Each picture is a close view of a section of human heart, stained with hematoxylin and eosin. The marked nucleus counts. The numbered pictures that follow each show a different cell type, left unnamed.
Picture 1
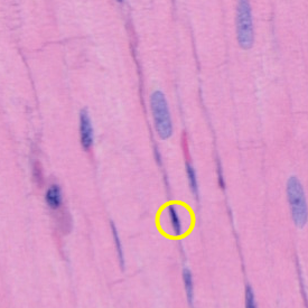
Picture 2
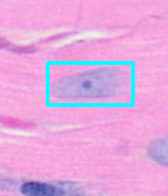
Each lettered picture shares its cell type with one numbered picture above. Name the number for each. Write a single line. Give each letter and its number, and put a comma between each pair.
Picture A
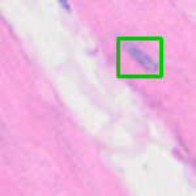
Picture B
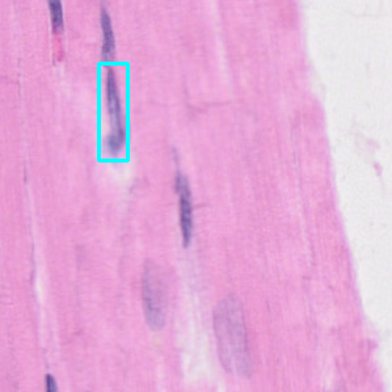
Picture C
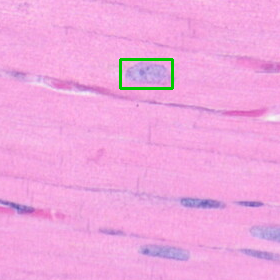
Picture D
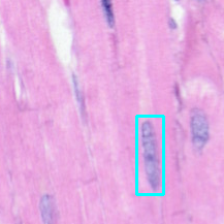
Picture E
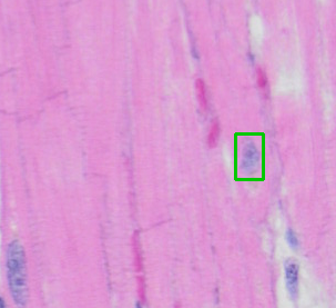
A 2, B 1, C 2, D 2, E 2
